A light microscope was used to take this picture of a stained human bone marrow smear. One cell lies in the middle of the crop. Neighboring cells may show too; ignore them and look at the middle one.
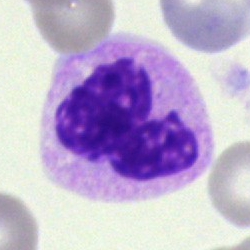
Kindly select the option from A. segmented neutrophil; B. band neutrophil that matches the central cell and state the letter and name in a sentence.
The cell in the middle is a segmented neutrophil, and so option A is correct.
